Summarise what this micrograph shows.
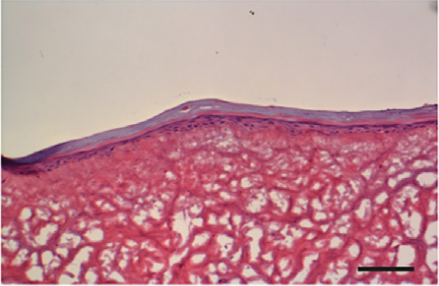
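A thin stratified epidermis covers a pink, loosely woven fibrous dermal matrix. Purple nuclei crowd in the lower cell layers, and a pale lilac layer of flattened cornified cells lies on top, resting evenly on the matrix without clefts.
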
